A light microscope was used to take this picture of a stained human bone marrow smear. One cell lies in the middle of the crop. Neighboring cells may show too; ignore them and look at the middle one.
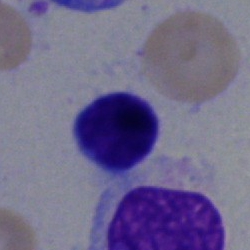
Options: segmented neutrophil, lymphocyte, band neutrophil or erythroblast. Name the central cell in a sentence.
Classified as a lymphocyte is the cell in the middle of this crop.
